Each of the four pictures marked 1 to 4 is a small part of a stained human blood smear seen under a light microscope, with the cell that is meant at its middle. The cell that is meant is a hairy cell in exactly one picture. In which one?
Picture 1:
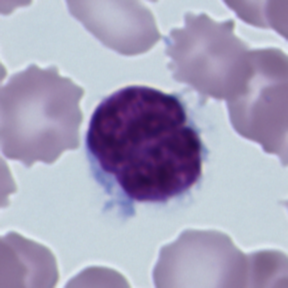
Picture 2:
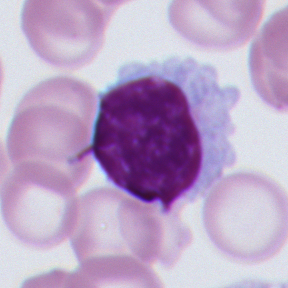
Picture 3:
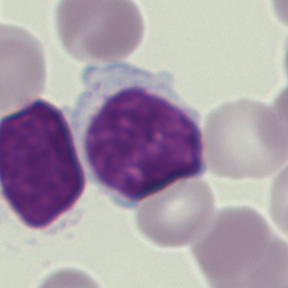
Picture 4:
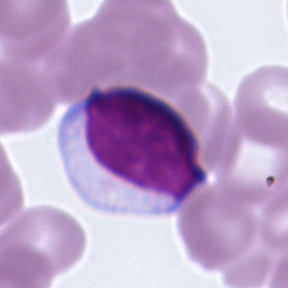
1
